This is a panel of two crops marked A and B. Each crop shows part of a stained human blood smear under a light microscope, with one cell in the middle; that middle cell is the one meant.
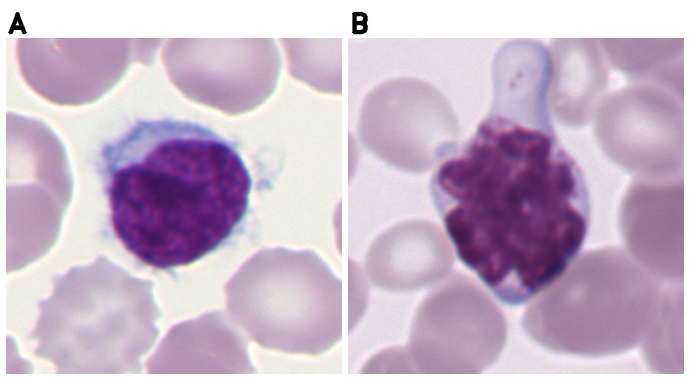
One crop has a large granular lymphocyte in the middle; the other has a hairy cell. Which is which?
A: hairy cell
B: large granular lymphocyte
